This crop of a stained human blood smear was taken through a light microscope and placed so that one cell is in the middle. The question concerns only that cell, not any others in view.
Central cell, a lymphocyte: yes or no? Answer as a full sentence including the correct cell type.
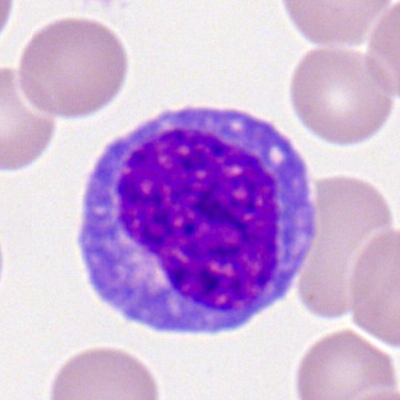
No, the cell in the middle is recognised as a monocyte rather than a lymphocyte.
